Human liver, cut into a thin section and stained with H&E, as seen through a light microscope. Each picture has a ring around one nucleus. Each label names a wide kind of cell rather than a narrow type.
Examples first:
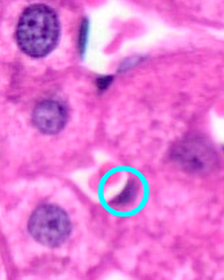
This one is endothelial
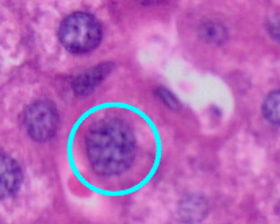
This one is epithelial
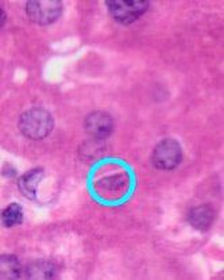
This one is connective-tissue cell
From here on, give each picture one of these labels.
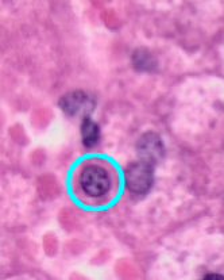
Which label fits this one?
epithelial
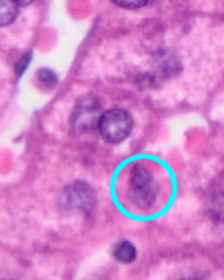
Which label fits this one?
endothelial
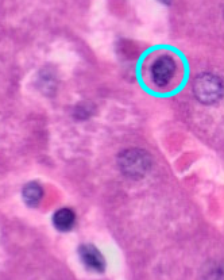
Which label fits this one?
connective-tissue cell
